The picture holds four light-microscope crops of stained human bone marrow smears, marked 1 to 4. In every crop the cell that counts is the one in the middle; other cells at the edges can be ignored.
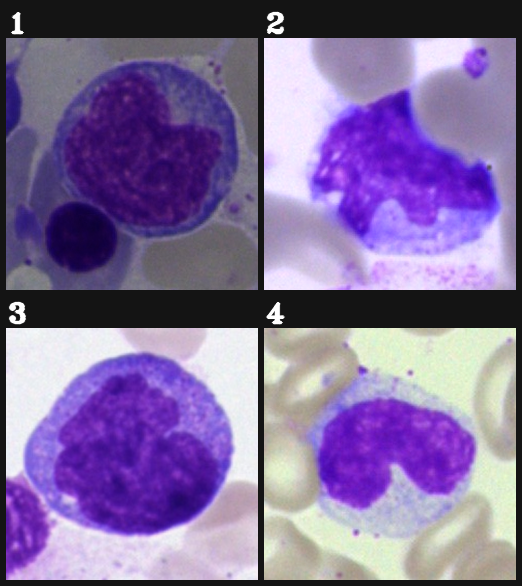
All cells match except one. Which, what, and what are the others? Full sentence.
Unlike the rest, which all show monocytes, crop 4 contains a band neutrophil.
